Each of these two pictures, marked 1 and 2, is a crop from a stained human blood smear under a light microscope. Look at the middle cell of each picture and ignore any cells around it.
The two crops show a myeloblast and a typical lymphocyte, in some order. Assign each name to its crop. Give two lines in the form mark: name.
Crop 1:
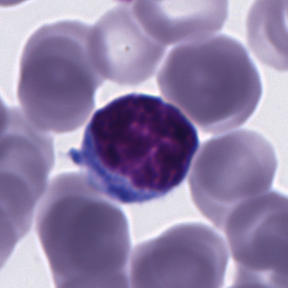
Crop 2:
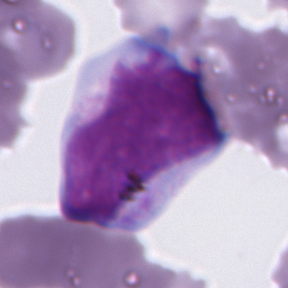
1: typical lymphocyte
2: myeloblast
